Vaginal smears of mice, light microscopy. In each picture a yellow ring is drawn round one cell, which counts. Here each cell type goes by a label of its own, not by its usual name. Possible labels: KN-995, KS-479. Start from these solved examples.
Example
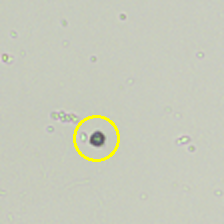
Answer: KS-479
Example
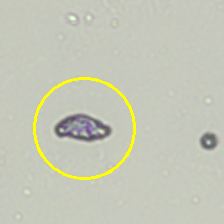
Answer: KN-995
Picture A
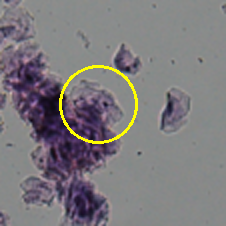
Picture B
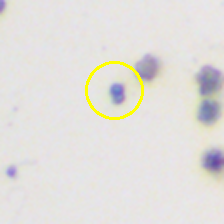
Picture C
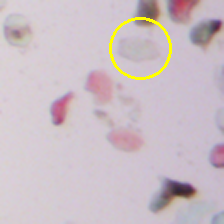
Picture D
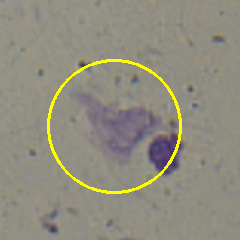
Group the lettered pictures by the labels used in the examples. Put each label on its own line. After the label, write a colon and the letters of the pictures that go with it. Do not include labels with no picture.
KN-995: A, C, D
KS-479: B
